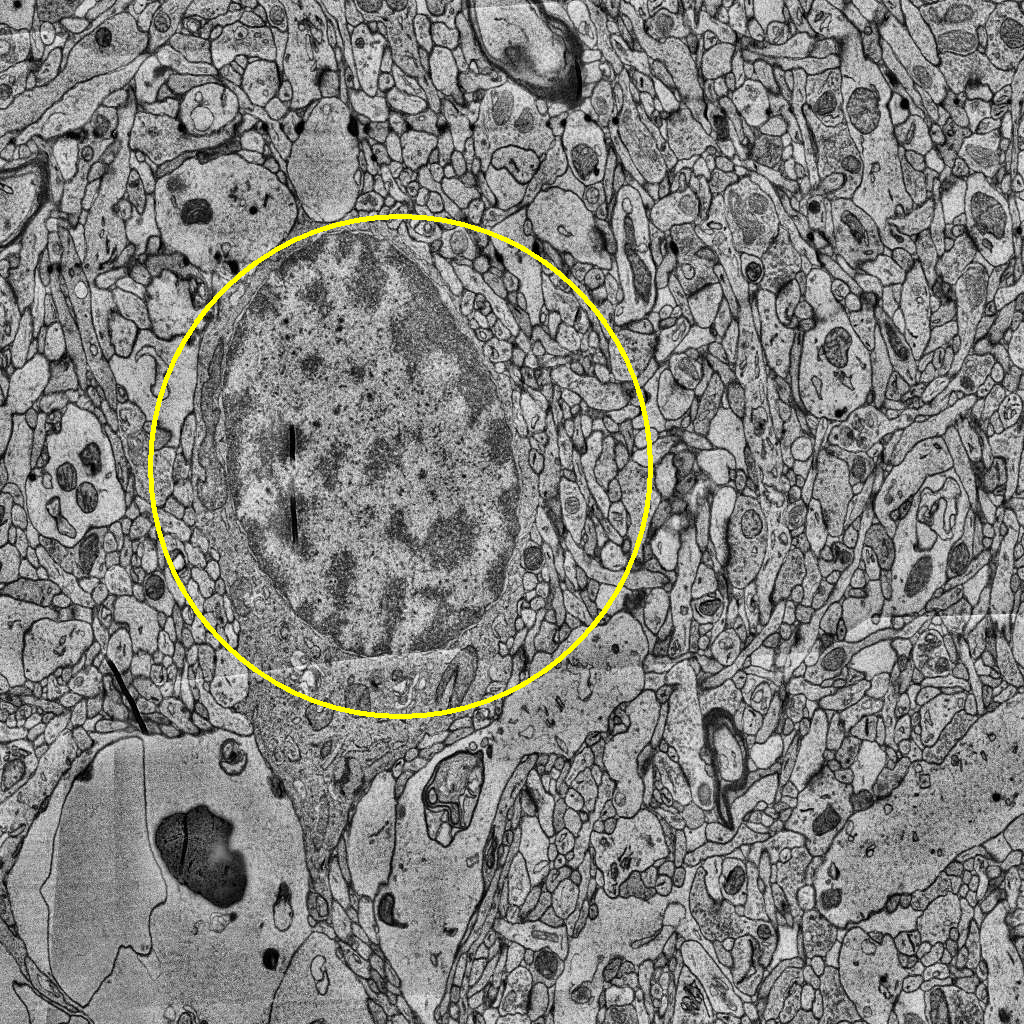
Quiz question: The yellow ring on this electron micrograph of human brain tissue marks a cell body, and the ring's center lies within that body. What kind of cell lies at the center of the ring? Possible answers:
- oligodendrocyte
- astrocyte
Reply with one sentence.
The ring's center lies on an oligodendrocyte.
